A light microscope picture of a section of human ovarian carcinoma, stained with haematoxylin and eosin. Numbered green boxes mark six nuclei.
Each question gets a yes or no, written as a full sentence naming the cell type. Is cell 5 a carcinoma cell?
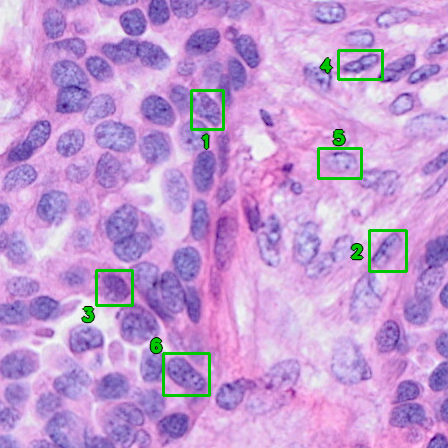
No, it is not a carcinoma cell that bears number 5 but a fibroblast.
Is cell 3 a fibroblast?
No, it's not a fibroblast at number 3; that cell is a carcinoma cell.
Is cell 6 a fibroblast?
No, cell 6 does not count as a fibroblast; it is a carcinoma cell.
